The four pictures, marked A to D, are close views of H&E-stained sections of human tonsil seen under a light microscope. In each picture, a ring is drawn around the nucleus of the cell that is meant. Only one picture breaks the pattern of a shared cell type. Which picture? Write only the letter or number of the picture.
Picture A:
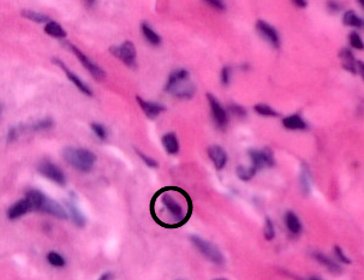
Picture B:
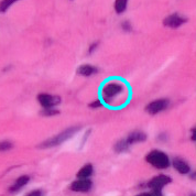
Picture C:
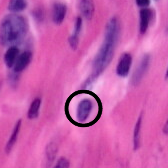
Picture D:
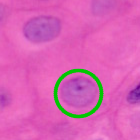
D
